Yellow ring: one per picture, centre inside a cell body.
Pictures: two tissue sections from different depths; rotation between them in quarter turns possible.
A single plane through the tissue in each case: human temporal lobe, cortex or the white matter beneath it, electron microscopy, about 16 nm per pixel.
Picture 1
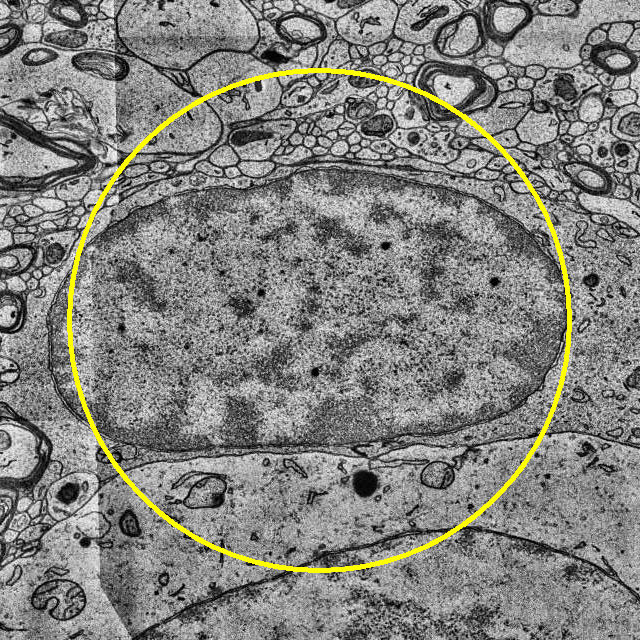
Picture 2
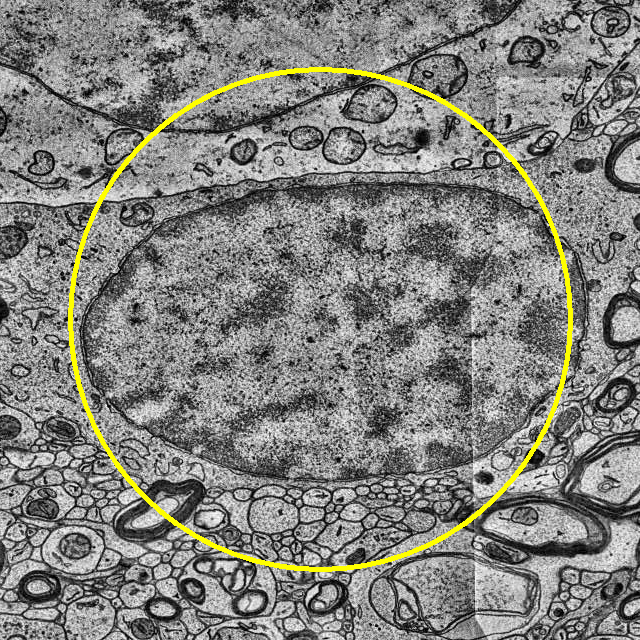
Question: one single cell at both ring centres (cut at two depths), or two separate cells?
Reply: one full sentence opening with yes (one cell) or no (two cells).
Yes, both yellow rings mark one and the same cell.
